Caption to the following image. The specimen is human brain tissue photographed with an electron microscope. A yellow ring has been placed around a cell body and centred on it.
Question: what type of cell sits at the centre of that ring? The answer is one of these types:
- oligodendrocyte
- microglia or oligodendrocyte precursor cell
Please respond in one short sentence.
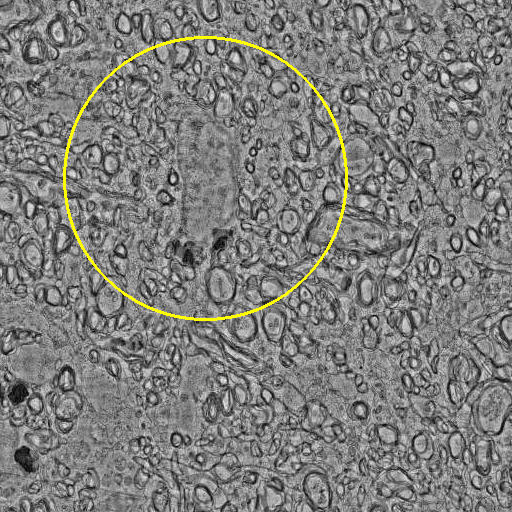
The ring surrounds the cell body of an oligodendrocyte.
